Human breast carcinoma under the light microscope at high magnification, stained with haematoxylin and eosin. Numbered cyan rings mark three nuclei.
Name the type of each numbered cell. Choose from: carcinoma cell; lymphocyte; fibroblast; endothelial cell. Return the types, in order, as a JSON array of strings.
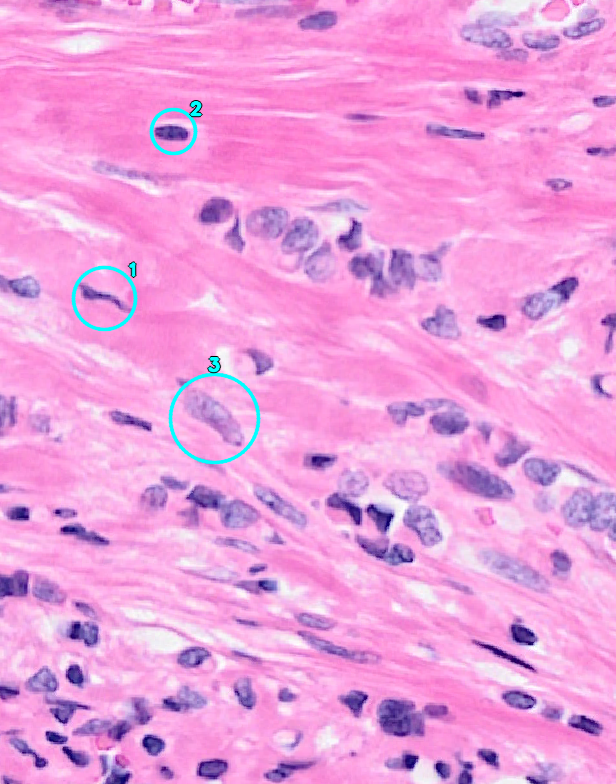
["fibroblast", "lymphocyte", "fibroblast"]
